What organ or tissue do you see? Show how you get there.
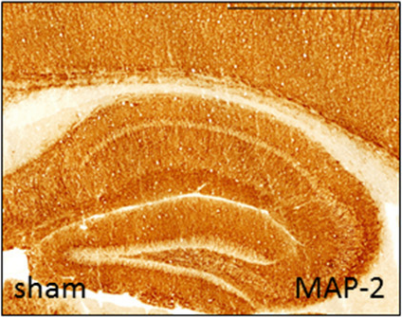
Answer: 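A C-shaped arrangement of layers with a V-shaped inner band. Pale unstained bands outline the cell layers within dense brown neuropil. Cortex lies above, separated by a pale band of white matter.
Dorsal hippocampus.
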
